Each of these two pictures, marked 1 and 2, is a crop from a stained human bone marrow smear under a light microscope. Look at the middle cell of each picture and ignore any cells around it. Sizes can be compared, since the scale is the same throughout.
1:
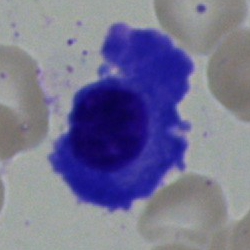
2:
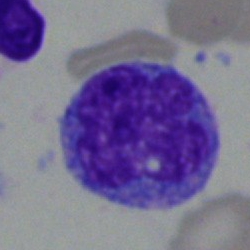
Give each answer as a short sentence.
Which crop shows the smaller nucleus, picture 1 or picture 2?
Picture 1 shows the smaller nucleus, since that in picture 2 covers about 2 times as much area.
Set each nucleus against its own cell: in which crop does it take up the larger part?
It is the cell in picture 2 that is filled more by its nucleus.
